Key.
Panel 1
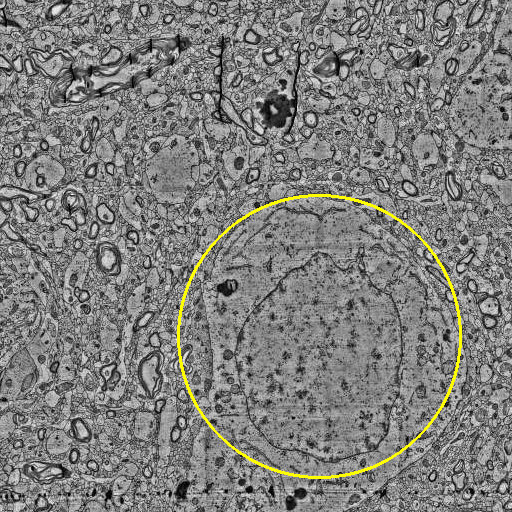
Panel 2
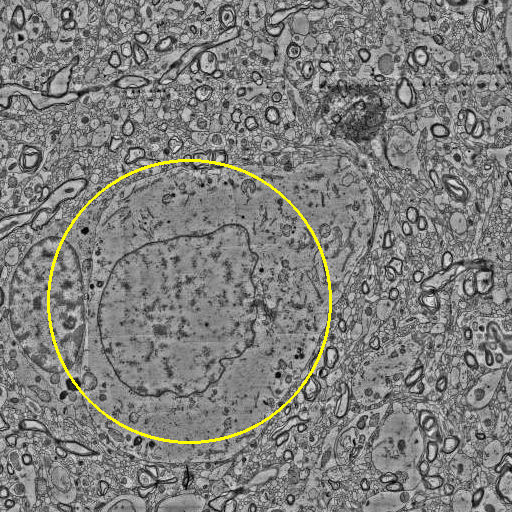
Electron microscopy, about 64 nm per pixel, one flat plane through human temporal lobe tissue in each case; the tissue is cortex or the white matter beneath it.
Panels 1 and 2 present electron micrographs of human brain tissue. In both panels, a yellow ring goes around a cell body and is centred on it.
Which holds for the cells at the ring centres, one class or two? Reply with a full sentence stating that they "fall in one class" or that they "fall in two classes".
Taken together, the ring-centre cells of the two panels fall in one class.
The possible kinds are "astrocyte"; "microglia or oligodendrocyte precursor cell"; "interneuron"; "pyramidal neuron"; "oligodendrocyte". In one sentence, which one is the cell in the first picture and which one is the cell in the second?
Both rings mark a pyramidal neuron, one in each picture.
